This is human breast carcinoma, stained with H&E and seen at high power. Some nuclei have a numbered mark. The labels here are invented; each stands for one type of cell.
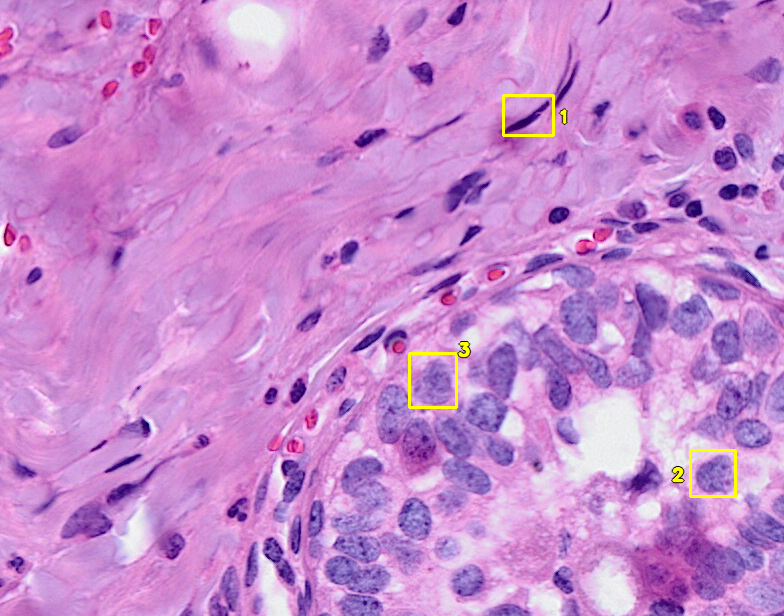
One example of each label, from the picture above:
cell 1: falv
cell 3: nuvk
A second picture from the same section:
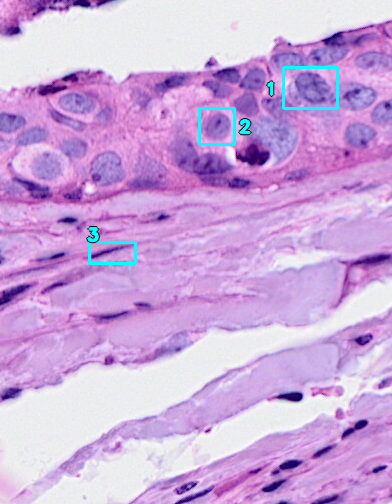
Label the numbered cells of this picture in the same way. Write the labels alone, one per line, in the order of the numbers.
nuvk
nuvk
falv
